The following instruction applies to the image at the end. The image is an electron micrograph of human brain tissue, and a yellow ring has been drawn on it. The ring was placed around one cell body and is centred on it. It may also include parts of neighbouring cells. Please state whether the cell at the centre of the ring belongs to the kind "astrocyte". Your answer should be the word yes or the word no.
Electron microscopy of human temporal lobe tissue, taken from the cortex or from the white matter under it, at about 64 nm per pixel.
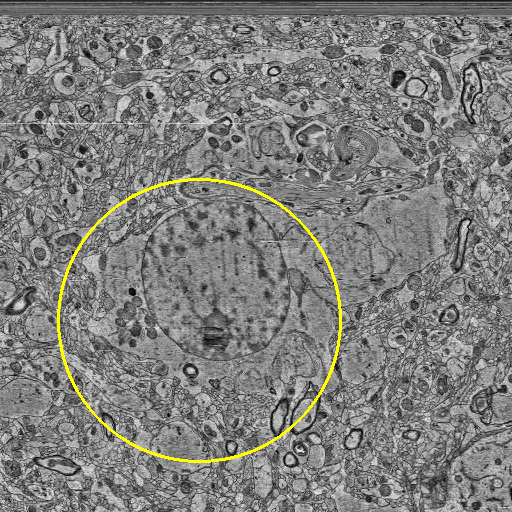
yes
